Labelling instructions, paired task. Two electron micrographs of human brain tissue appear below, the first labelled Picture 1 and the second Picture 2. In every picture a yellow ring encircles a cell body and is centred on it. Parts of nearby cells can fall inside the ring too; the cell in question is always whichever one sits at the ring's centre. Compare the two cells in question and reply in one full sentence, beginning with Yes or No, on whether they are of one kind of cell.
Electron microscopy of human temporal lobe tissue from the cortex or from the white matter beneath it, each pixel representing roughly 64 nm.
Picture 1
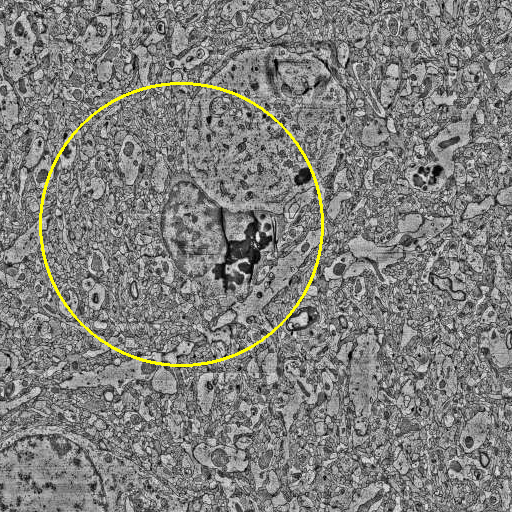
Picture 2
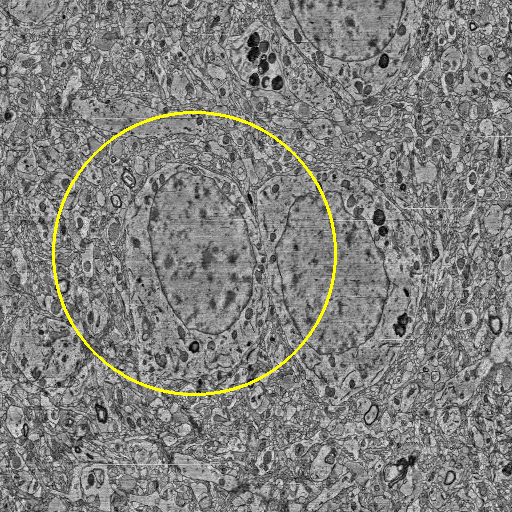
No, the two cells at the ring centres in Picture 1 and Picture 2 are of two kinds.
